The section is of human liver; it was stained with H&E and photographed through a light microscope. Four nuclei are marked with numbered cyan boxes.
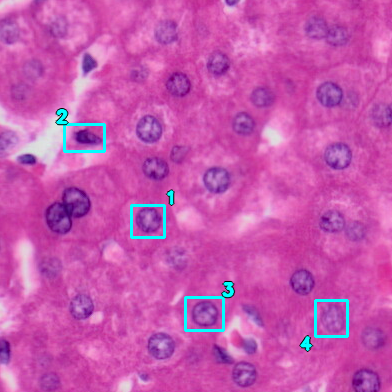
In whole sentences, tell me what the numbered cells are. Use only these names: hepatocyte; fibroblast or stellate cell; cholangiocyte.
Cells 1, 3 and 4 are hepatocytes. Cell 2 is a fibroblast or stellate cell.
